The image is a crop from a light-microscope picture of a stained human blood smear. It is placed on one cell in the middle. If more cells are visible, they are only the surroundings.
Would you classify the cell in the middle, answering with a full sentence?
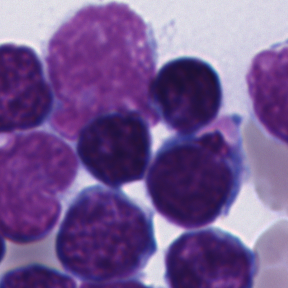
The cell positioned in the middle of the field is a myeloblast.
